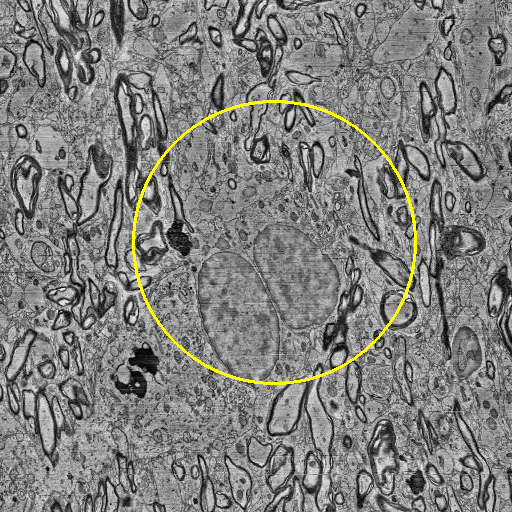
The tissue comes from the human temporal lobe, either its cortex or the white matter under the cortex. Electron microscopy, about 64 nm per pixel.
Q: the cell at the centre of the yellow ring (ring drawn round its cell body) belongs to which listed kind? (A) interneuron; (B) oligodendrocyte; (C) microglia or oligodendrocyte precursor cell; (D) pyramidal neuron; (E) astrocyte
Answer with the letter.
B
